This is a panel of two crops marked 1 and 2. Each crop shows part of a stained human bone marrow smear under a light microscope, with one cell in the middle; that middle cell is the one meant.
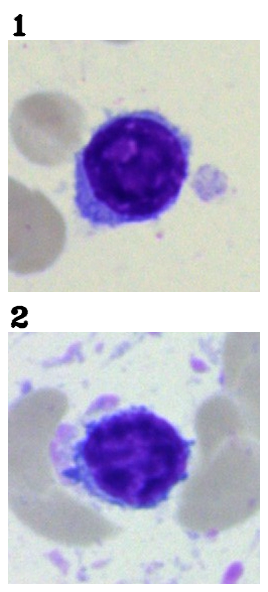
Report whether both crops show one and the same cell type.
yes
